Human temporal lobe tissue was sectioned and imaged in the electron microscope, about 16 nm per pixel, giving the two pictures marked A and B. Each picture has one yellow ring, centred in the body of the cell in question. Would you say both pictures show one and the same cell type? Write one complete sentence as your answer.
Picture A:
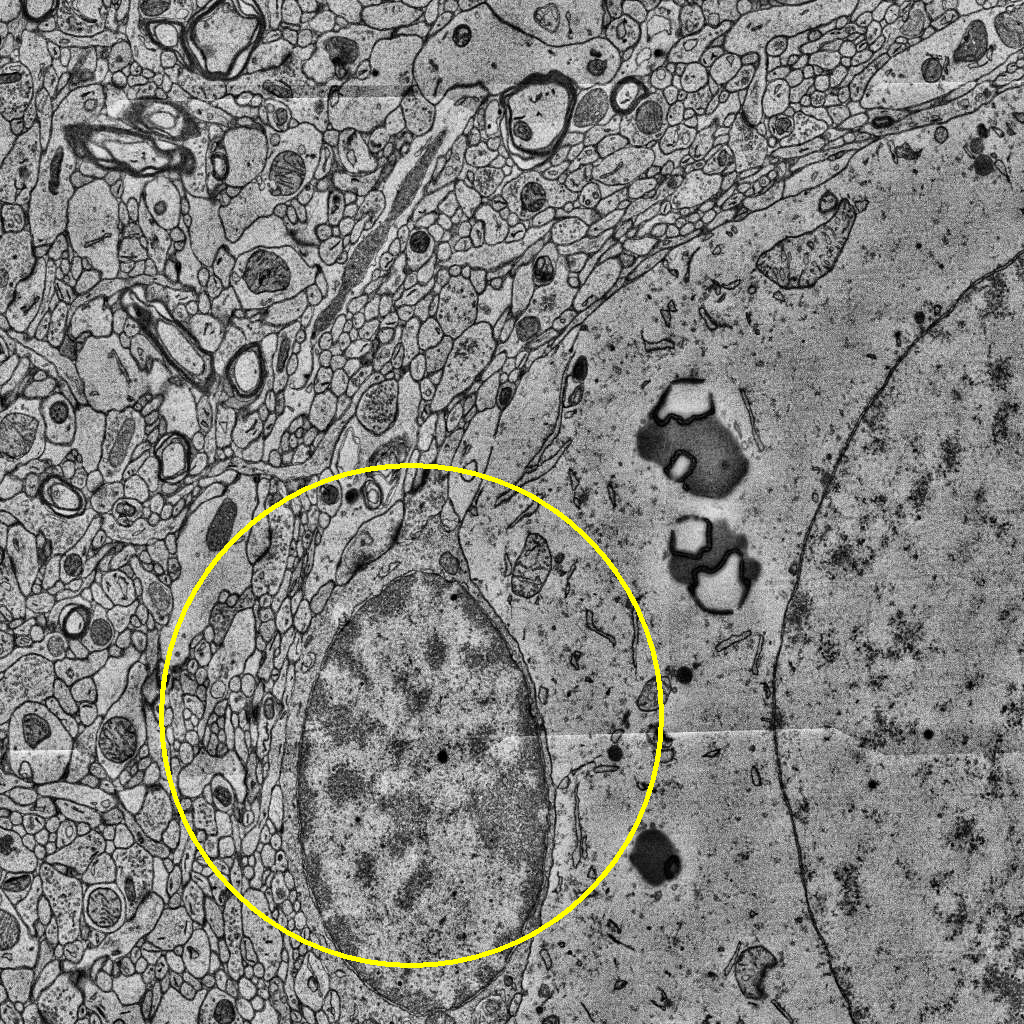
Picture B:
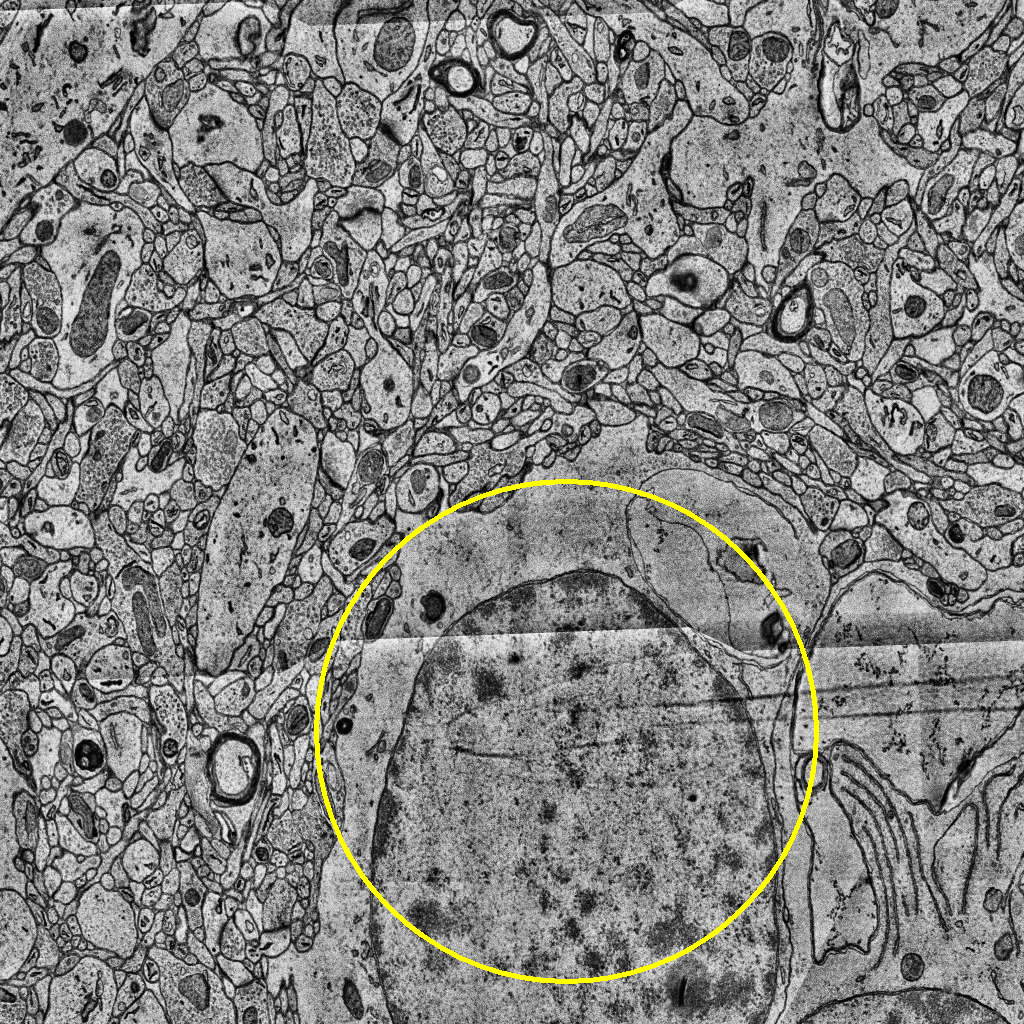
No. Picture A shows an oligodendrocyte, but picture B shows an astrocyte.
